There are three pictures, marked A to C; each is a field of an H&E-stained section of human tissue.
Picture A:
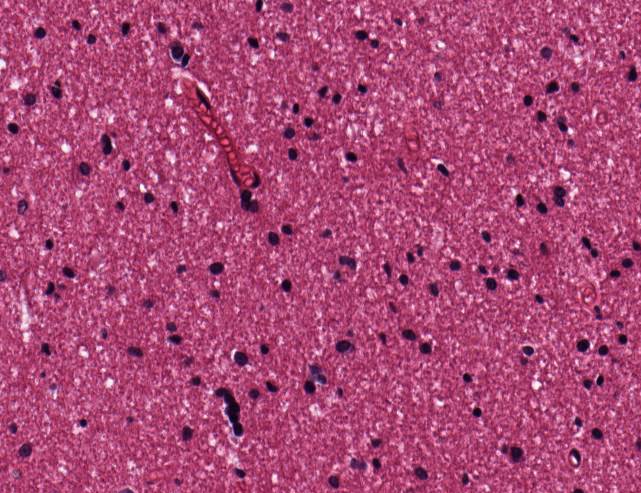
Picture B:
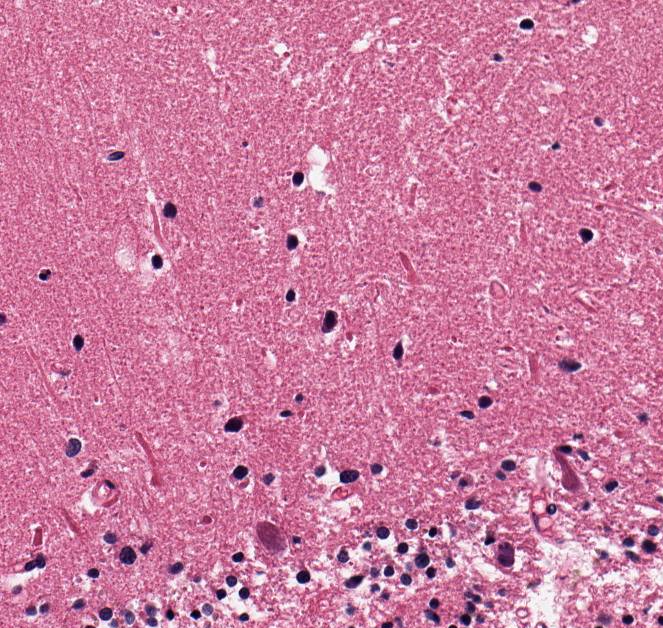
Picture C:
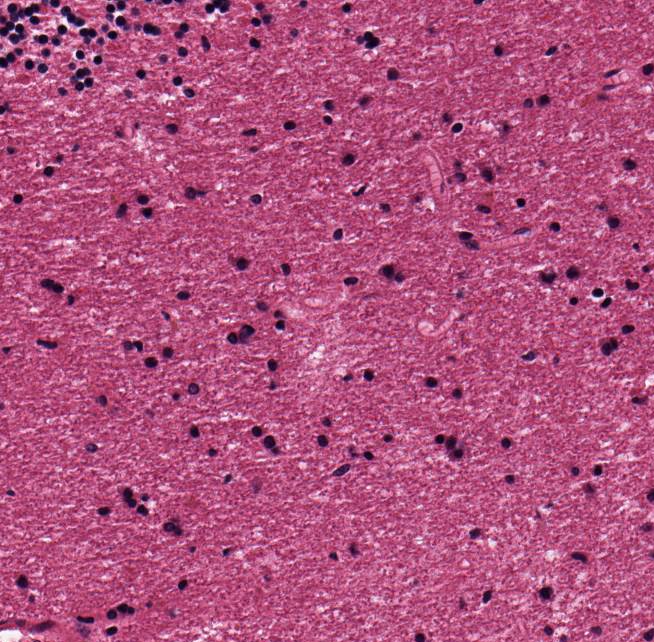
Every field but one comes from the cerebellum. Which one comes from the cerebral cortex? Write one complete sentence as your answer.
The one that comes from the cerebral cortex is picture A.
